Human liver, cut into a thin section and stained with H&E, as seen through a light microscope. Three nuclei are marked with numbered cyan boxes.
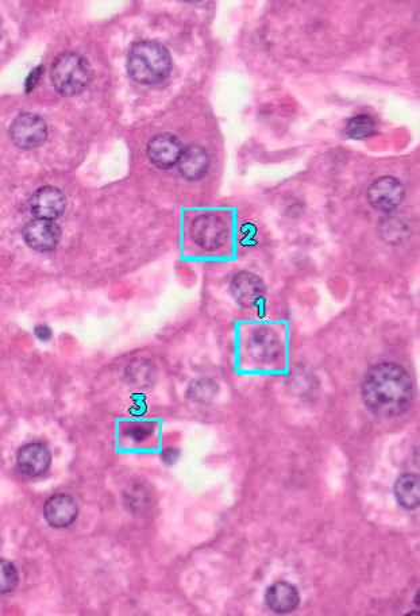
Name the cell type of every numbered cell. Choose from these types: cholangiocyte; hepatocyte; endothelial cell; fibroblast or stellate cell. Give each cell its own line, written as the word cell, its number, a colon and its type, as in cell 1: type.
cell 1: hepatocyte
cell 2: hepatocyte
cell 3: endothelial cell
